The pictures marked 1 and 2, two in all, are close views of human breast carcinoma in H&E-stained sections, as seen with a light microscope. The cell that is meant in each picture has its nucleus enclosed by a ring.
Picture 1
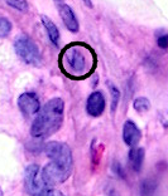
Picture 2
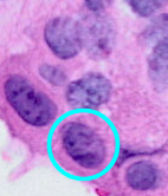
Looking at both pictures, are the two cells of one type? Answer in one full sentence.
No, they differ: the cell is an endothelial cell in picture 1 and a carcinoma cell in picture 2.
